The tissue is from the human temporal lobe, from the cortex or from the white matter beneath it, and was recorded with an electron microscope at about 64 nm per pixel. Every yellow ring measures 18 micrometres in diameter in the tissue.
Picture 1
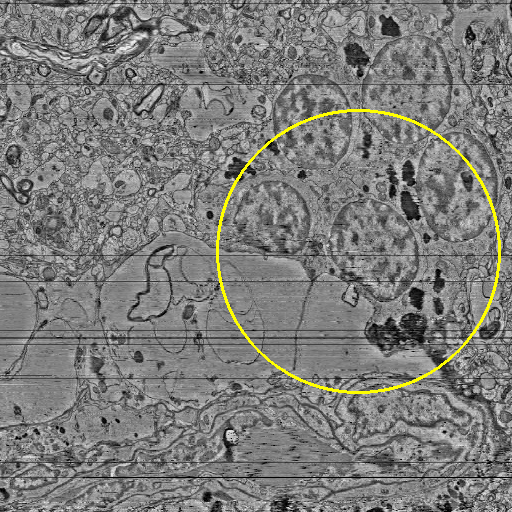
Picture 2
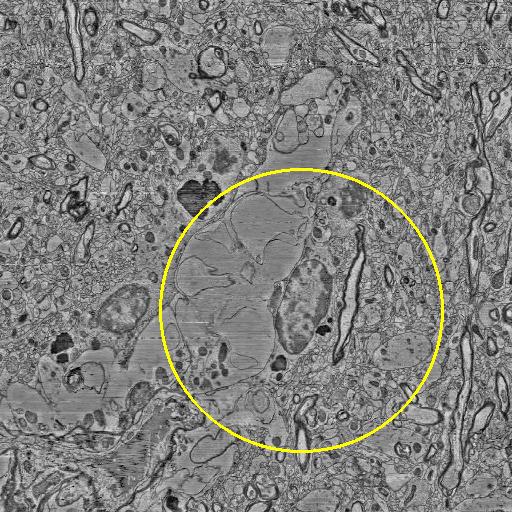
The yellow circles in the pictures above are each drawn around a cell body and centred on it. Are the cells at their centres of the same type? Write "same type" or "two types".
two types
